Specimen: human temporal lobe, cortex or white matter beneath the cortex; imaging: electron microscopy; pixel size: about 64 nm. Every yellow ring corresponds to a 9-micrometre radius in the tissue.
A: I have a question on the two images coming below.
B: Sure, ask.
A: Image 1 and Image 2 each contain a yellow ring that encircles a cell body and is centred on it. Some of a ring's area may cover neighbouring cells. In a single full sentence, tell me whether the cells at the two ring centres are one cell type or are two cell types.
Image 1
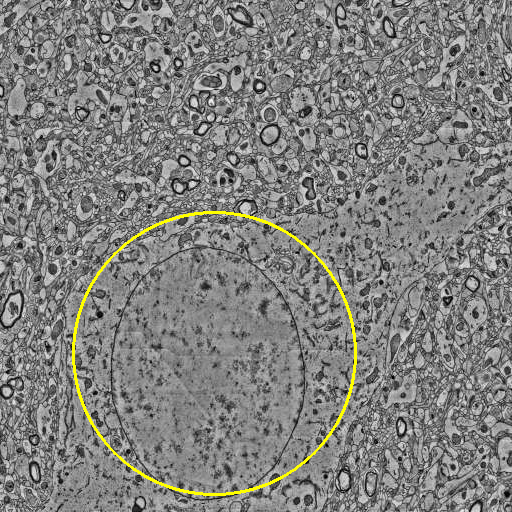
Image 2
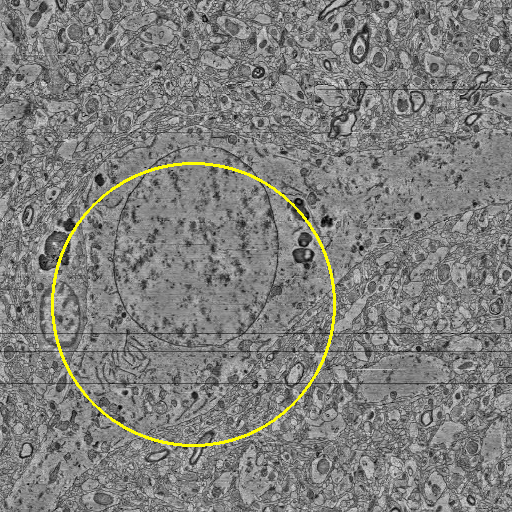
As for the ring-centre cells, the one in Image 1 and the one in Image 2 are one cell type.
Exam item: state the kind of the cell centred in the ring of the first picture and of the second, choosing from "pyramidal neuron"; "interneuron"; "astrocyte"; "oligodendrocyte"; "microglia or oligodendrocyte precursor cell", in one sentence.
Each of the two rings is centred on a pyramidal neuron.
